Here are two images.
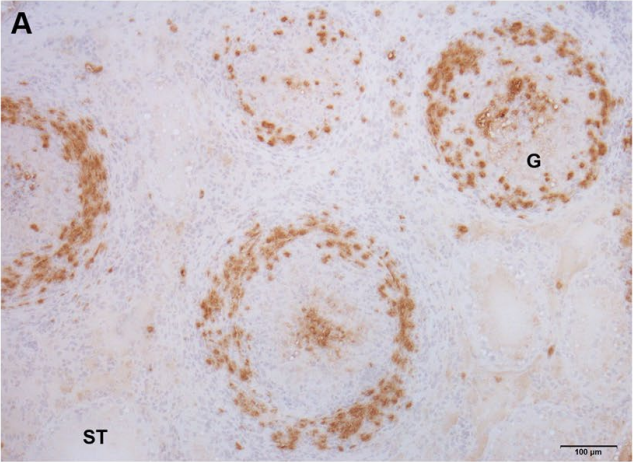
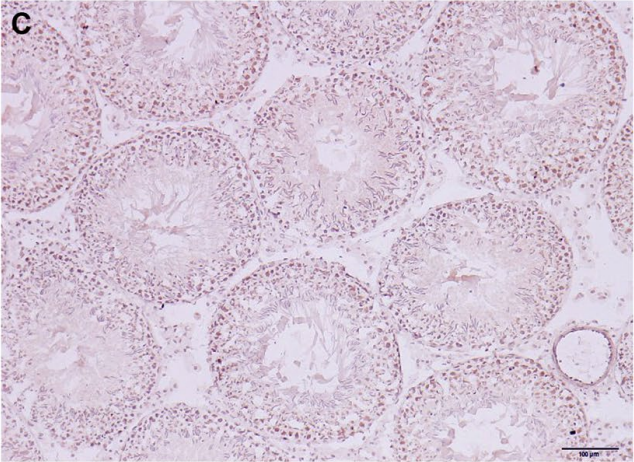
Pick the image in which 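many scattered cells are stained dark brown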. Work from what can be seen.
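The first image. First image: numerous dark brown cells form rings around round nodules and lie scattered between them.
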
